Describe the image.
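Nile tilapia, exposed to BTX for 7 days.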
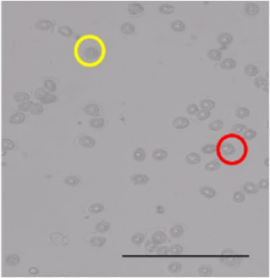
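The cells are small, oval and of nearly uniform size, lying singly and well spaced on a pale grey background. A few cells lie close together in small groups, but no clumping or large debris is evident.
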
